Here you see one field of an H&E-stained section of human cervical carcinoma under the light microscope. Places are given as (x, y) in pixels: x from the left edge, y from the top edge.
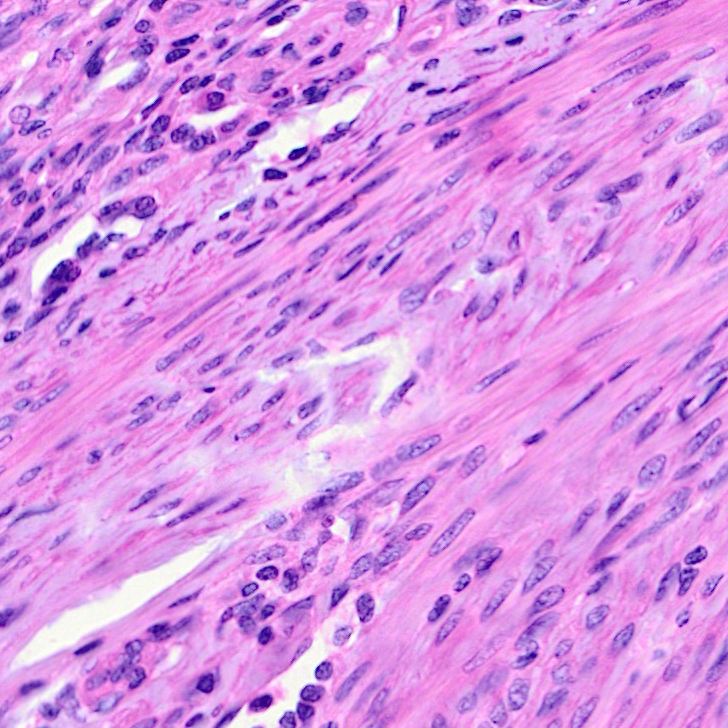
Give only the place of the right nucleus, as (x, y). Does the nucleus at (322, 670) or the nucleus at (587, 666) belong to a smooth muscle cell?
(587, 666)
